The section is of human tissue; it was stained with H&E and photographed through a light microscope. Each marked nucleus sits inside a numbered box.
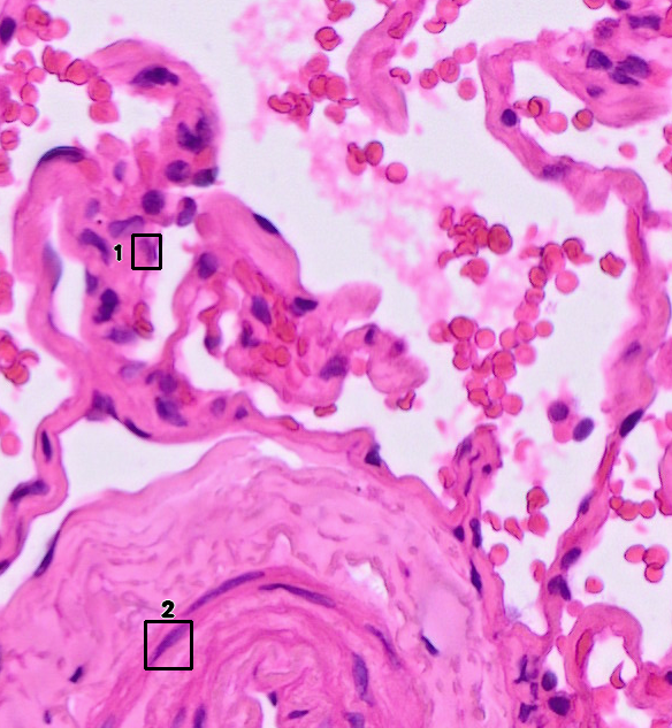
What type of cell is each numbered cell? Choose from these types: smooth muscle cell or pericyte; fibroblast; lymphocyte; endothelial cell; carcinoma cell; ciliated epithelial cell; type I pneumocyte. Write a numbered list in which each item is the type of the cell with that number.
1. type I pneumocyte
2. smooth muscle cell or pericyte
